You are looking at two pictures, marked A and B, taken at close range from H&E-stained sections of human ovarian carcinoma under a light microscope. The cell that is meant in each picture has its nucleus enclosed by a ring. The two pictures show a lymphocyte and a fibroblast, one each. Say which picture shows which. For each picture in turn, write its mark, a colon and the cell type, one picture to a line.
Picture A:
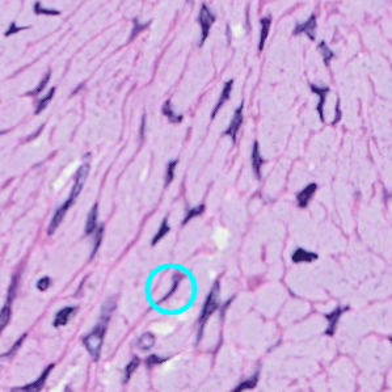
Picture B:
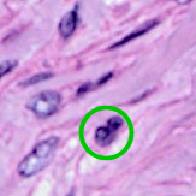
A: fibroblast
B: lymphocyte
